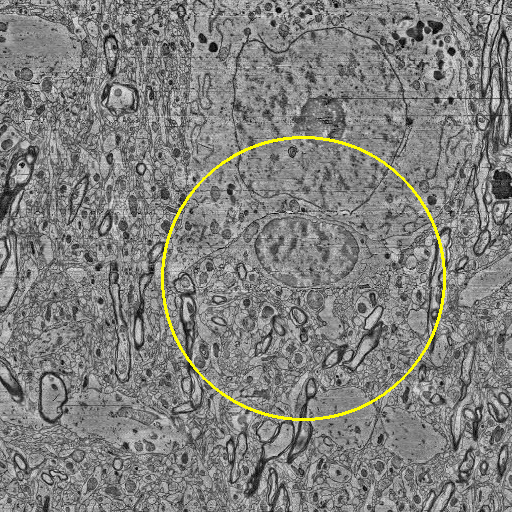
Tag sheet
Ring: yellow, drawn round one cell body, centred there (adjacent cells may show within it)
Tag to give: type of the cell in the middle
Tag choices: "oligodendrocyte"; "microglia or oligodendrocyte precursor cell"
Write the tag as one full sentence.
I tag the cell centred in the yellow ring as an oligodendrocyte in this picture.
